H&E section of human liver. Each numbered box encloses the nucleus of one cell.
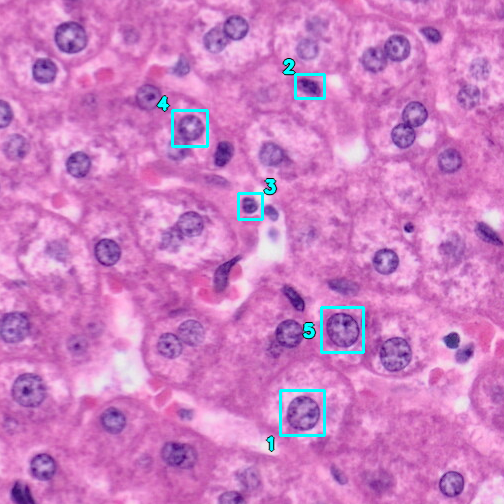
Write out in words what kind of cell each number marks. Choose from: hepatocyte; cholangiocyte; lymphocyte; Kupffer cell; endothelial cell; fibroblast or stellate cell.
Cells 1, 4 and 5 are hepatocytes. Cell 2 is a fibroblast or stellate cell. Cell 3 is a lymphocyte.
